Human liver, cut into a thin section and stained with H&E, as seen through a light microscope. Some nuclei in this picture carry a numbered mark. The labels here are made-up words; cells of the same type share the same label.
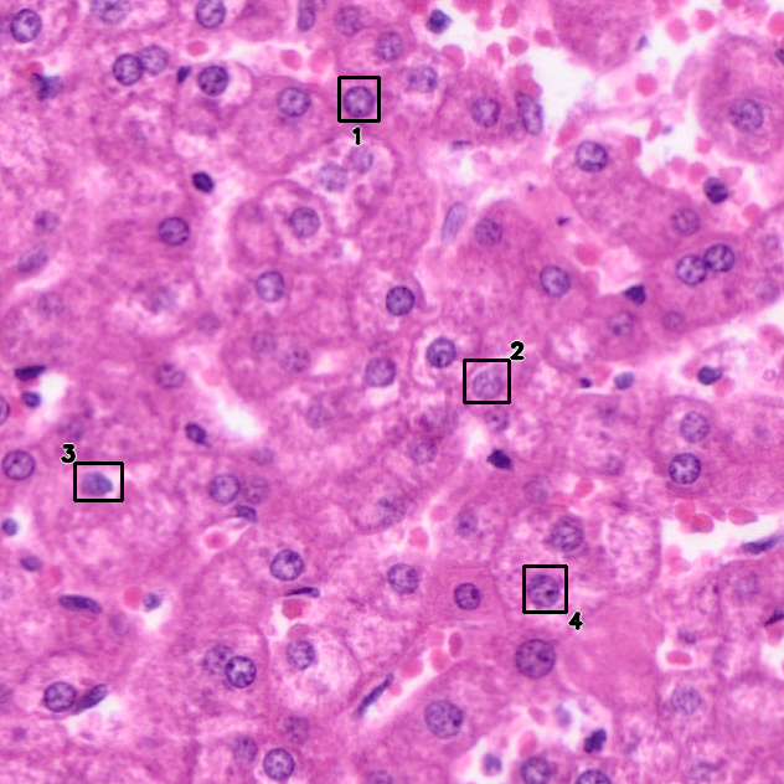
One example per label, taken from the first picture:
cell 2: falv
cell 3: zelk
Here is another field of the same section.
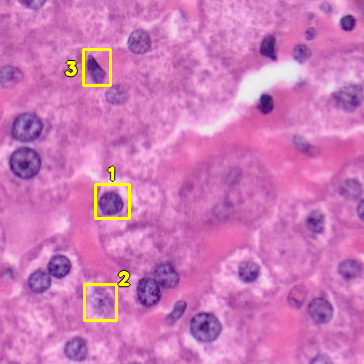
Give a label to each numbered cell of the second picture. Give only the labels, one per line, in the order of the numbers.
falv
falv
zelk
